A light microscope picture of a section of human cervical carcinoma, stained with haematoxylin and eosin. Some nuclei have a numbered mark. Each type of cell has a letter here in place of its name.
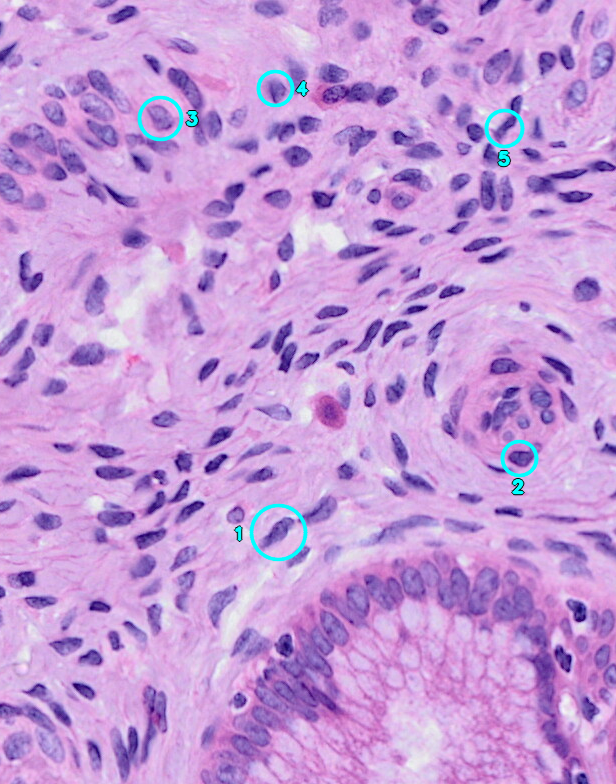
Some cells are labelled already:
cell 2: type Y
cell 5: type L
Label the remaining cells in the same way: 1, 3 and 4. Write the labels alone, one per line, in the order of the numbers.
type L
type Y
type L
